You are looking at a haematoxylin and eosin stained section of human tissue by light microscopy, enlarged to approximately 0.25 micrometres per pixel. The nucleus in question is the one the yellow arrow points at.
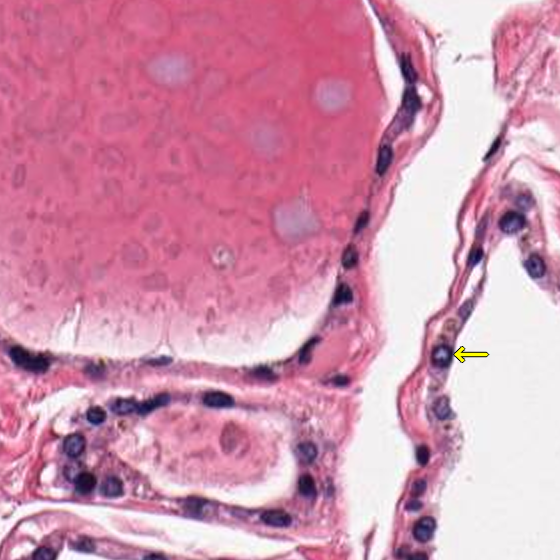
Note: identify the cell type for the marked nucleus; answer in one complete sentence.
The marked nucleus is identified as belonging to a thyroid follicular cell.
